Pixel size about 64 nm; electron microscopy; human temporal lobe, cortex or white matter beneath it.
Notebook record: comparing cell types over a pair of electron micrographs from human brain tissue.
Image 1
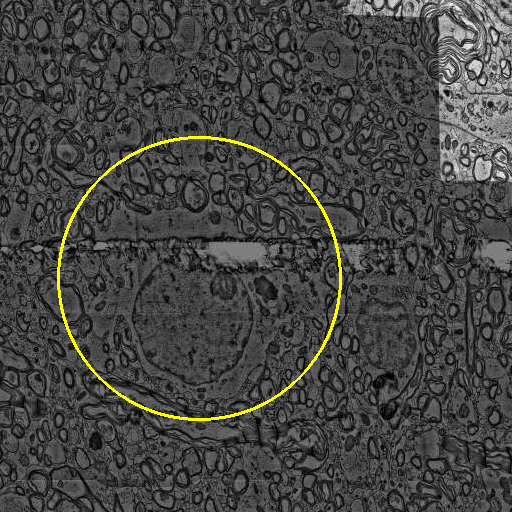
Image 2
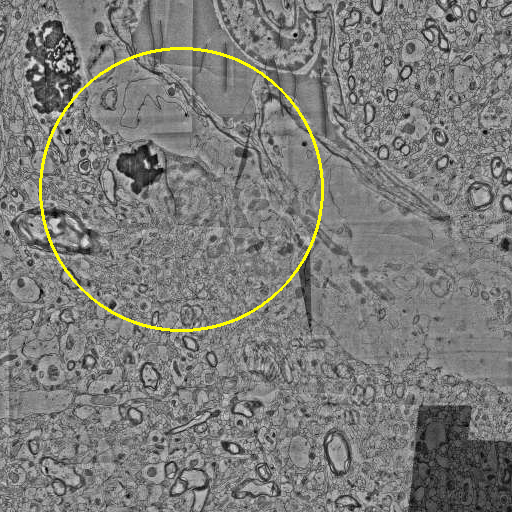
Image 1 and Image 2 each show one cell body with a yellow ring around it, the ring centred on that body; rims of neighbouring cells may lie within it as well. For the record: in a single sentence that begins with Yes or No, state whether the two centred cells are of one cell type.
No, two cell types are found among the centred cells of Image 1 and Image 2.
